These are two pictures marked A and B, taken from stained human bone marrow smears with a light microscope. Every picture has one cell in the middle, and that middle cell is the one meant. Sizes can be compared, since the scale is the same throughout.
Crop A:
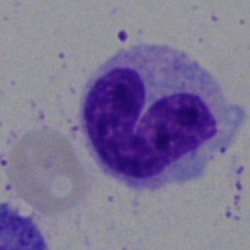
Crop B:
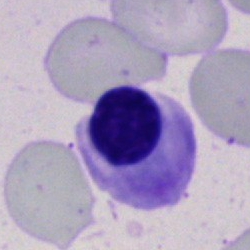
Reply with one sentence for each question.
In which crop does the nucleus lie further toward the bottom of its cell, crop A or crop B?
In crop A the nucleus is shifted more toward the bottom.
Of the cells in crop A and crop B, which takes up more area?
Larger is the cell in crop A, at roughly 1.5 times the area of the other.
